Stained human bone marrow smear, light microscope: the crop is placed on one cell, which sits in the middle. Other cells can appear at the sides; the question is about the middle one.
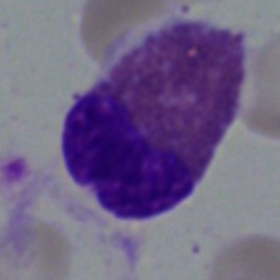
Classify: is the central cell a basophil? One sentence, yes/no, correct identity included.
No, instead of a basophil, the centred cell represents an eosinophil.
